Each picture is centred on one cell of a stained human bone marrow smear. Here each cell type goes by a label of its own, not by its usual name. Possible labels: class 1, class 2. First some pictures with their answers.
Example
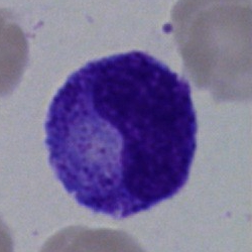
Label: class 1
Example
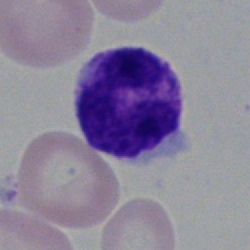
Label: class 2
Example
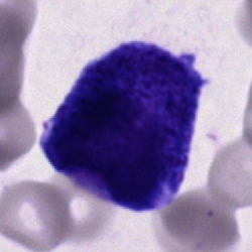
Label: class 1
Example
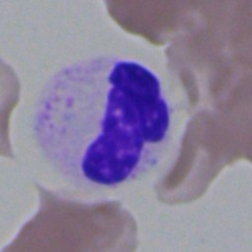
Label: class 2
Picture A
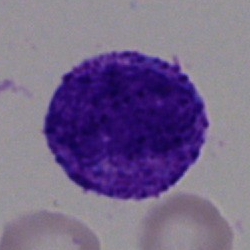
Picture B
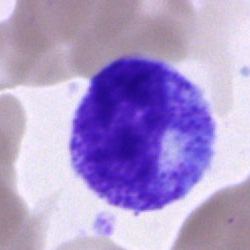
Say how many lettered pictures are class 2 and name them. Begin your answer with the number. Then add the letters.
0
